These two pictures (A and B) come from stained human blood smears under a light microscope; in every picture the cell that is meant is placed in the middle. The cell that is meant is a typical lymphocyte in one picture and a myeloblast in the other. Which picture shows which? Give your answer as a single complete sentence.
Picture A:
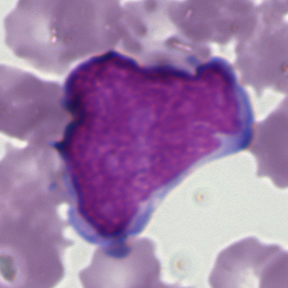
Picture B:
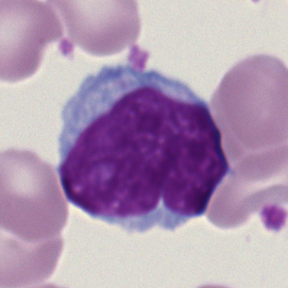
In picture A the cell is a myeloblast; in picture B, a typical lymphocyte.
